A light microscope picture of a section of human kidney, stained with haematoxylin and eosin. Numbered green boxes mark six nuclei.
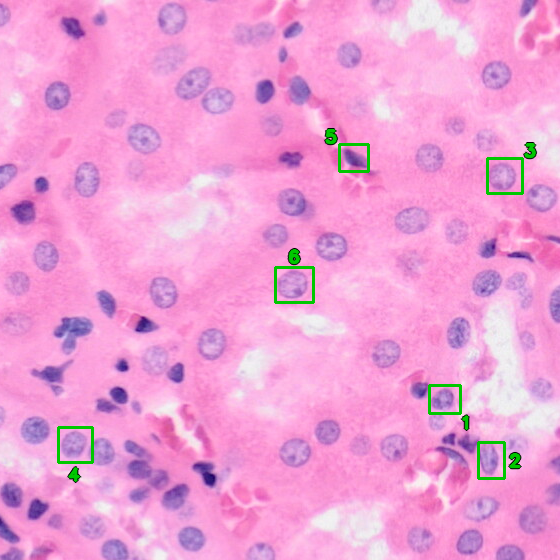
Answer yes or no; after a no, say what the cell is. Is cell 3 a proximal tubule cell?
Yes.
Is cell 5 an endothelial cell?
Yes.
